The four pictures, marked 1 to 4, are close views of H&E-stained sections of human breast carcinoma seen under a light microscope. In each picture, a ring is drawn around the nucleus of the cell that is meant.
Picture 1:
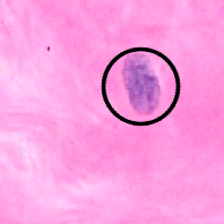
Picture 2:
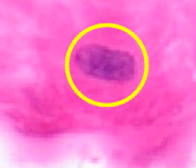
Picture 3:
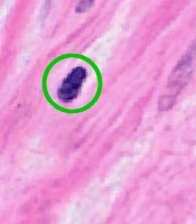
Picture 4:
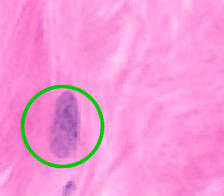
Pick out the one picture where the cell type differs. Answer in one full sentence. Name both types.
All pictures except 3 show fibroblasts; picture 3 shows a lymphocyte.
